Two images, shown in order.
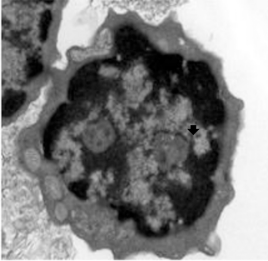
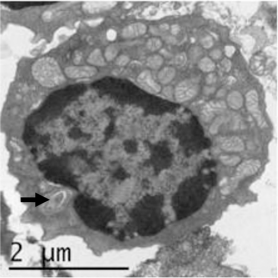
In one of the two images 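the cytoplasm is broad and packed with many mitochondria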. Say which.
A: The second image.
